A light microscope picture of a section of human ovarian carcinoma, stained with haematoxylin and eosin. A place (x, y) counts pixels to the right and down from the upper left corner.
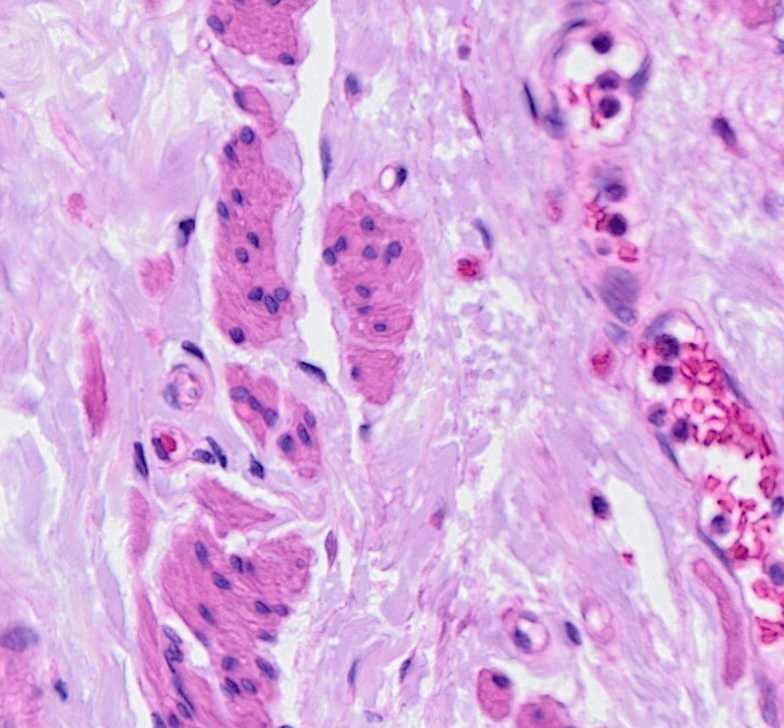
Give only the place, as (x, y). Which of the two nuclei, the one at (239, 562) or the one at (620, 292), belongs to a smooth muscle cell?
(239, 562)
